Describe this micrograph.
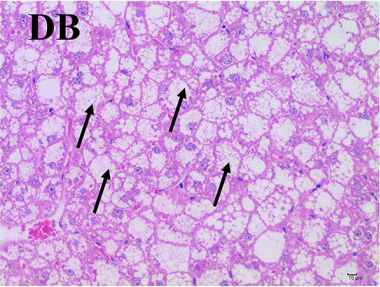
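This is liver tissue made of hepatocytes, many of which appear damaged. The hepatocytes are large polygonal cells with round, centrally placed nuclei stained purple. Their cytoplasm, normally pink, is here mostly pale and broken up by many clear vacuoles of varying size. Several cells are swollen, with large empty-looking spaces that give the tissue a lacy, foamy appearance. A small vessel containing red blood cells lies at the lower left edge.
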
